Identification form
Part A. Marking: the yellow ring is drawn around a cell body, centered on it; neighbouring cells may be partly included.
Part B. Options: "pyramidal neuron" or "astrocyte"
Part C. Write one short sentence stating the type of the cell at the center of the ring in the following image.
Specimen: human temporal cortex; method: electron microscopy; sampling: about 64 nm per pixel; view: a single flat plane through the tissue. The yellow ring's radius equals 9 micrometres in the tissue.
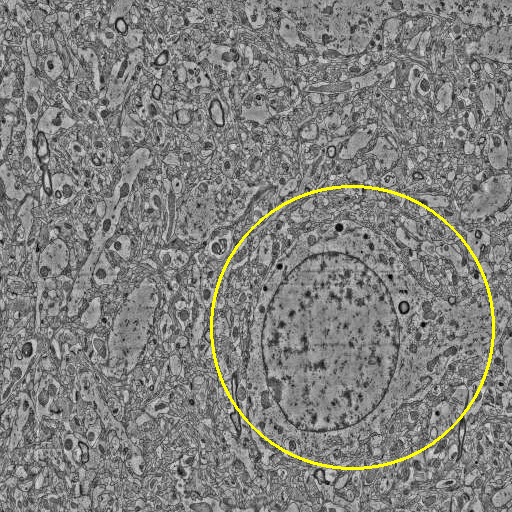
The center of the ring holds a pyramidal neuron.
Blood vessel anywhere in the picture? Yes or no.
No, a blood vessel is absent from this picture.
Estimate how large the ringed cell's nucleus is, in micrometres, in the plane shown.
In this plane, roughly 12 by 9 micrometres.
